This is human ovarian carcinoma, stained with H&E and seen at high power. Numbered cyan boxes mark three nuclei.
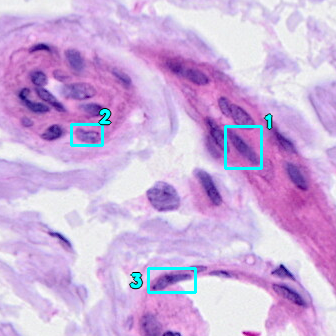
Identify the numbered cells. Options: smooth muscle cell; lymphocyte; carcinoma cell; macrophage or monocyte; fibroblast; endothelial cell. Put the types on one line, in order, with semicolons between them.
smooth muscle cell; smooth muscle cell; endothelial cell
